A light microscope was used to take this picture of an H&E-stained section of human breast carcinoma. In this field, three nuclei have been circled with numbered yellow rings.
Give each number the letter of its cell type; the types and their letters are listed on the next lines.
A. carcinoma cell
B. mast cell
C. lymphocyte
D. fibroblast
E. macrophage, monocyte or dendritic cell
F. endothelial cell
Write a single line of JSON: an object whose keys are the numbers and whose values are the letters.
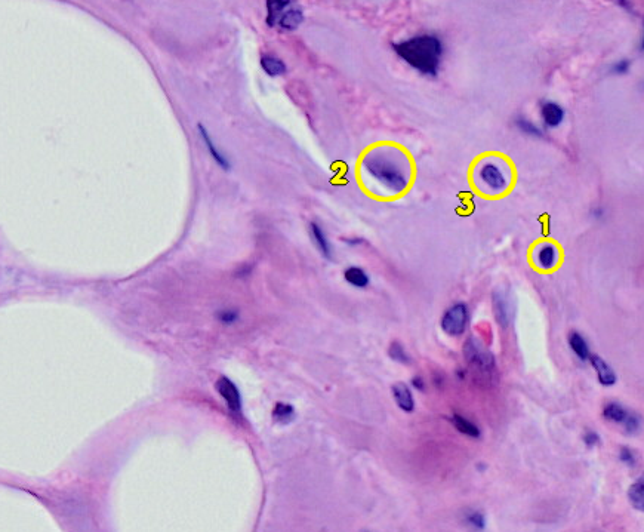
{"1": "C", "2": "D", "3": "C"}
